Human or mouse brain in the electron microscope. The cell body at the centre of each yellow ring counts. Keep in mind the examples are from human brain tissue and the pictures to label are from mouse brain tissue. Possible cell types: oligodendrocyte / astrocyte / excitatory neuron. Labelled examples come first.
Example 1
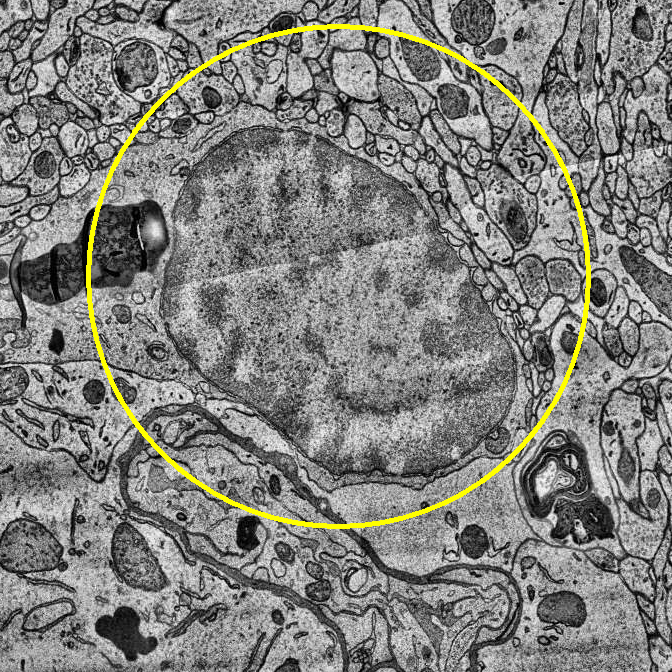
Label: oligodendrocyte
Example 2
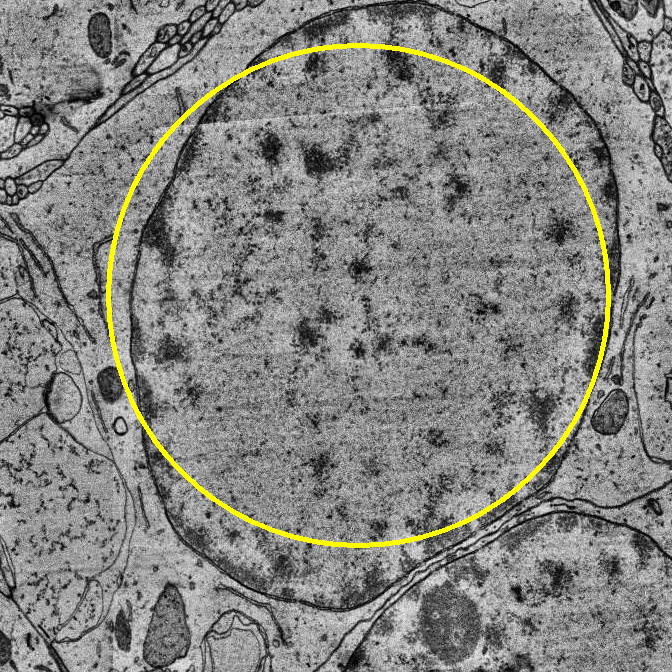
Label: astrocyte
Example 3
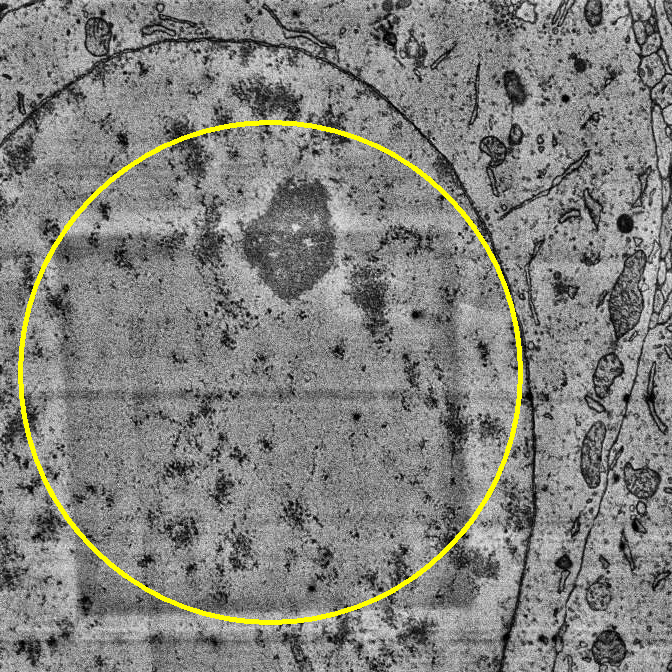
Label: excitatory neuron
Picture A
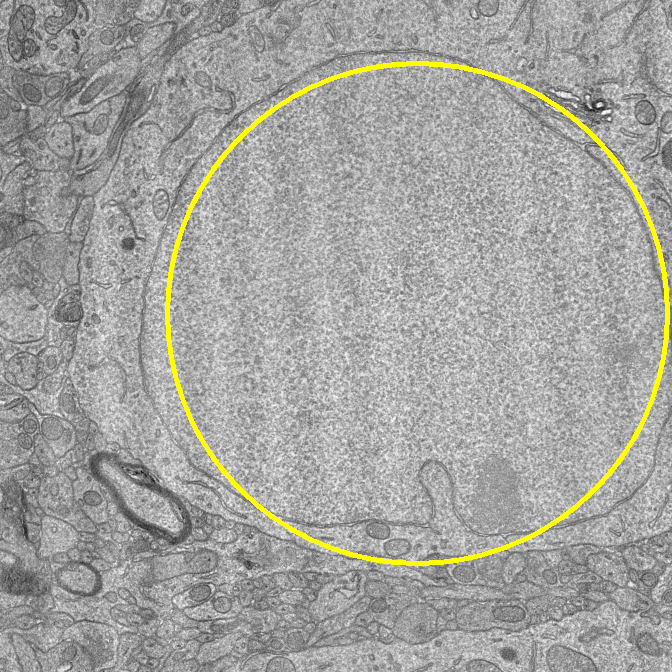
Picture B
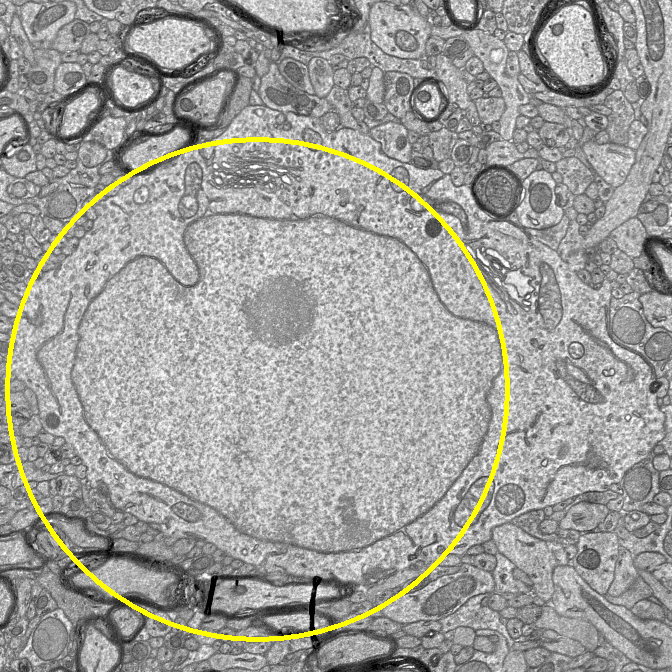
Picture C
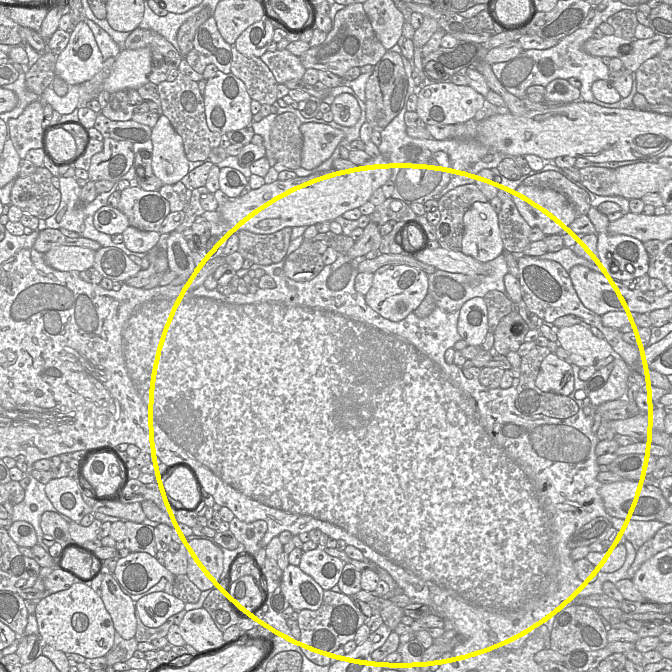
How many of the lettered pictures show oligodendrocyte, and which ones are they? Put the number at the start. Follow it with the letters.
0, none of them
